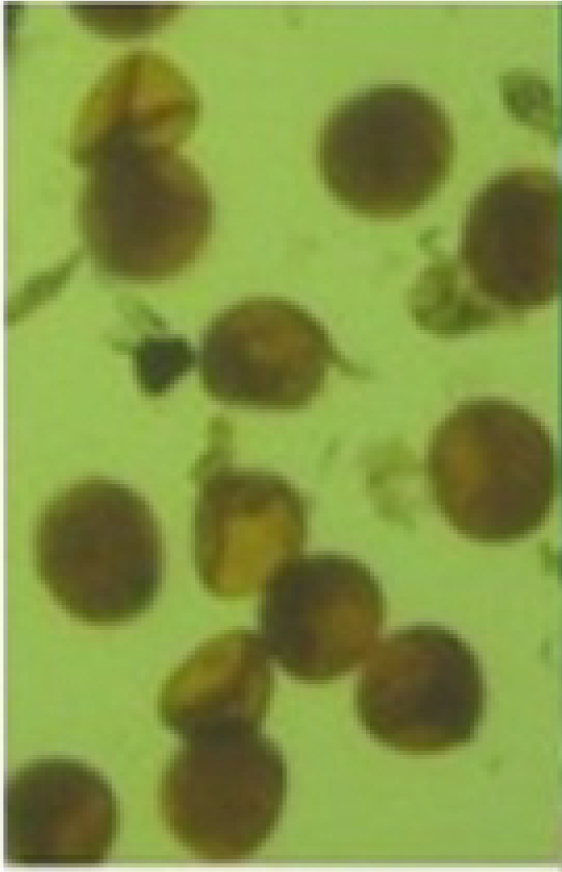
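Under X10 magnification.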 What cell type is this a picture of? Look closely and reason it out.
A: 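Several bodies are stained dark brown, others are pale, shrunken or irregular. The answer: pollen grains.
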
